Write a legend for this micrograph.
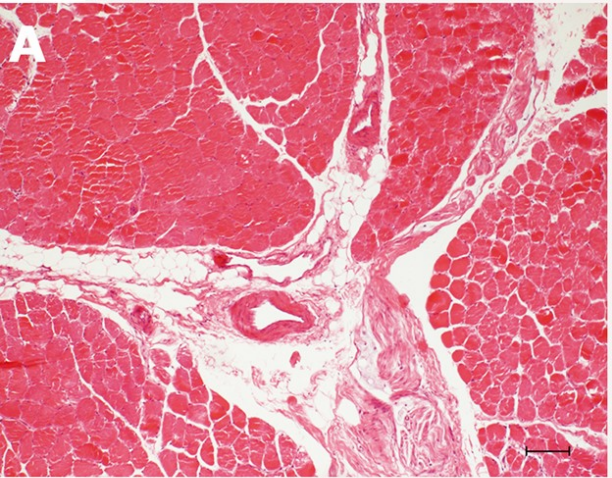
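Skeletal muscle in cross section, with pink polygonal muscle fibers packed closely together in large bundles. Between the bundles run broad septa of pale connective tissue that contain loose fibrous tissue, fat-like clear spaces and a small blood vessel with a thick pink wall and a slit-like lumen.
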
